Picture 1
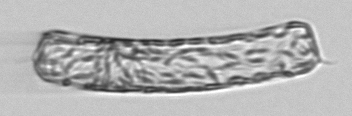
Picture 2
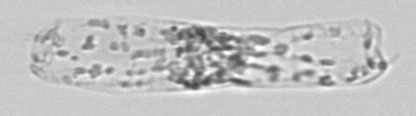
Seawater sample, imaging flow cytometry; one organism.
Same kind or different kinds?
Same: Guinardia.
